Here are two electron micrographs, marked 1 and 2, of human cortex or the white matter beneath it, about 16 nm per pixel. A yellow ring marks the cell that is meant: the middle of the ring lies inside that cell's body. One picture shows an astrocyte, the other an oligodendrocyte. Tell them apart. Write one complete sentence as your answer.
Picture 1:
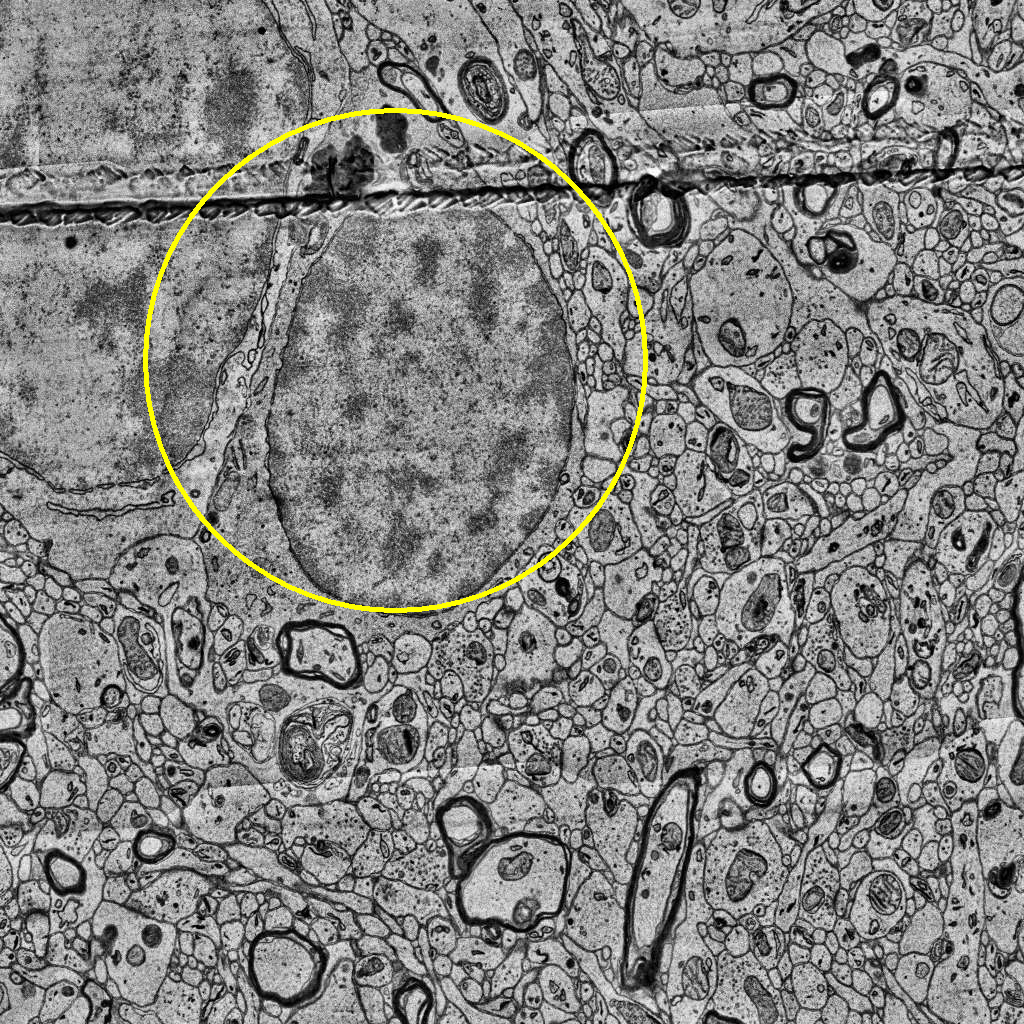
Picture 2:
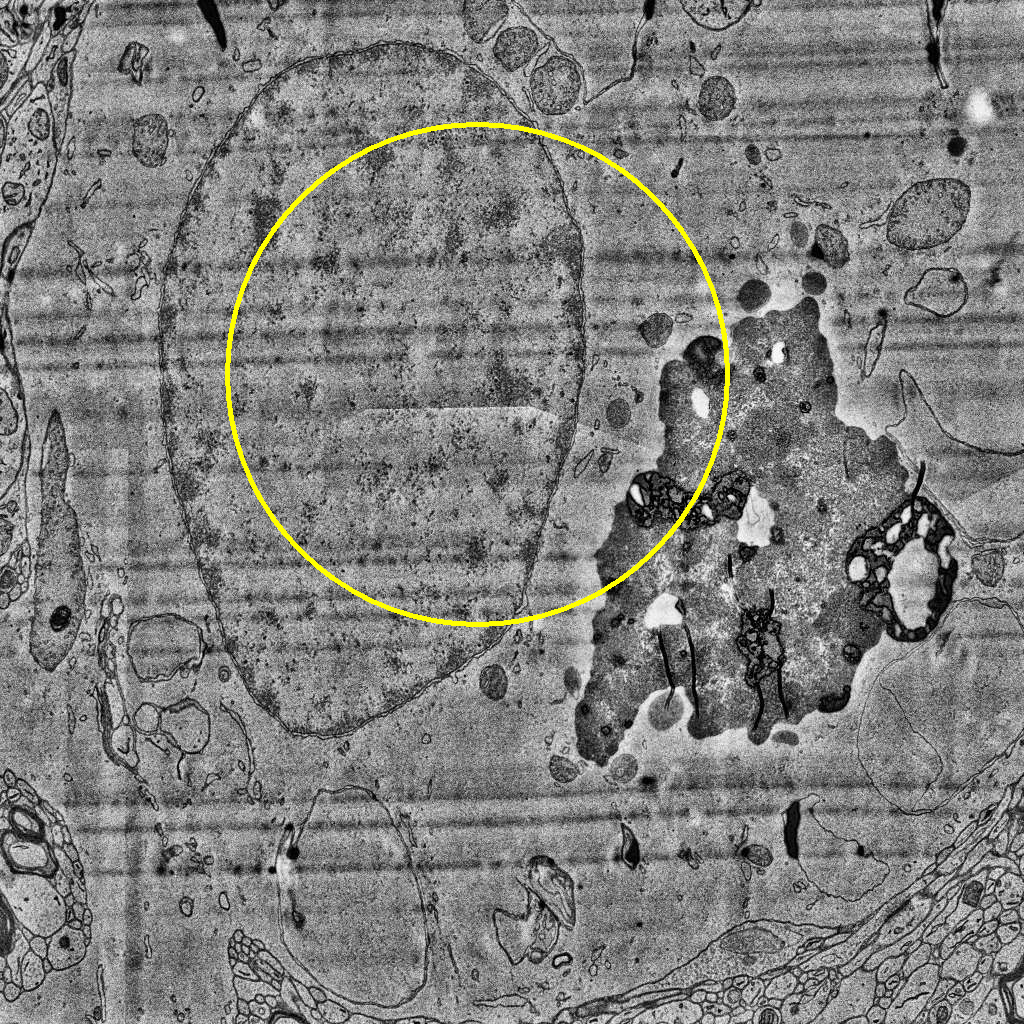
Picture 1 is of an oligodendrocyte, and picture 2 is of an astrocyte.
